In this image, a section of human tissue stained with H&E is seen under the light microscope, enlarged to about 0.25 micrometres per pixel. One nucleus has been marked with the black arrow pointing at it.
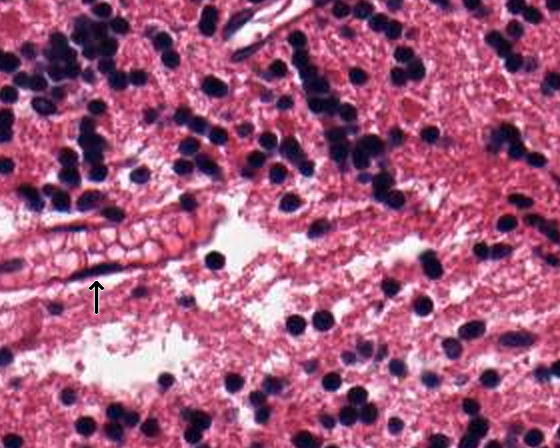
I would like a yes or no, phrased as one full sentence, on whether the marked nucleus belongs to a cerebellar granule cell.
No, the marked nucleus does not form part of a cerebellar granule cell, being part of a supporting cell.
